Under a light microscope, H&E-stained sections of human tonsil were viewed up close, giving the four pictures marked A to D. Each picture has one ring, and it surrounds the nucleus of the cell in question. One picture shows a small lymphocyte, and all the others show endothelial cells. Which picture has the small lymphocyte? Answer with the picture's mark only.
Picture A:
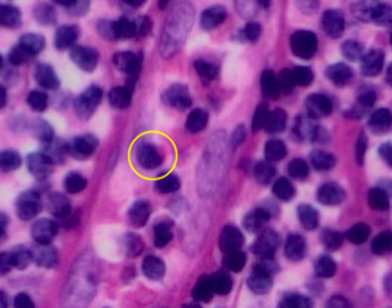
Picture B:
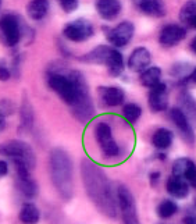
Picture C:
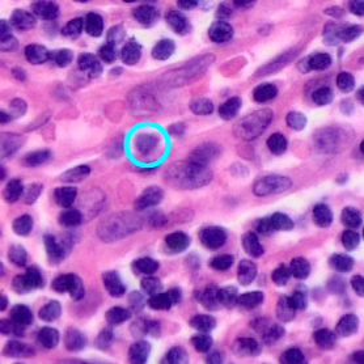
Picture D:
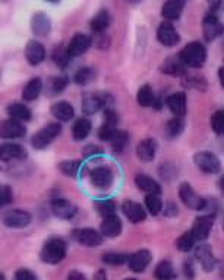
D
